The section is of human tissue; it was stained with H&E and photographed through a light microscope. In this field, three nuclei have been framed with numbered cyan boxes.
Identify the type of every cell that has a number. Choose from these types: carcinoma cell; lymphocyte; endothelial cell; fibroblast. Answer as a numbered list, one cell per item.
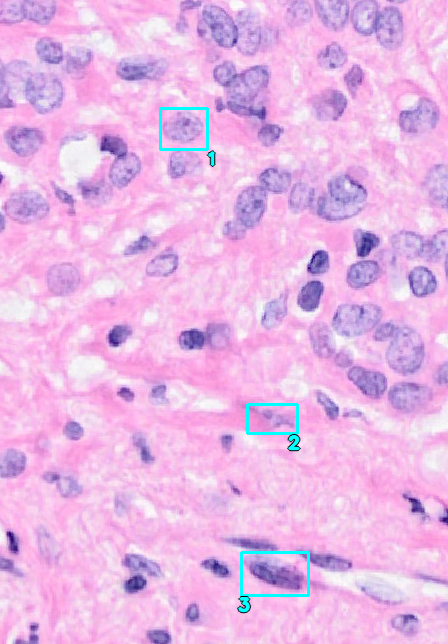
1. carcinoma cell
2. fibroblast
3. endothelial cell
